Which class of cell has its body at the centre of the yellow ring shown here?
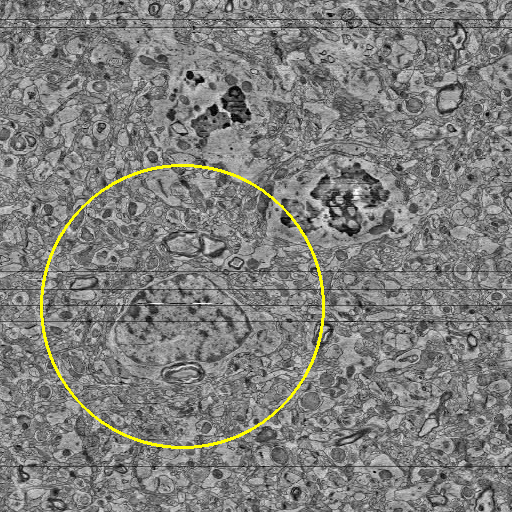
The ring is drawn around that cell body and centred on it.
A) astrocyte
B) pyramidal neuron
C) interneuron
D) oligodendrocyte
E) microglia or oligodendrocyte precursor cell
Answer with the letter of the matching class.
E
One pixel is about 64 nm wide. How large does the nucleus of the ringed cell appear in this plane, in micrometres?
In this plane, approximately 9 by 6 micrometers.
